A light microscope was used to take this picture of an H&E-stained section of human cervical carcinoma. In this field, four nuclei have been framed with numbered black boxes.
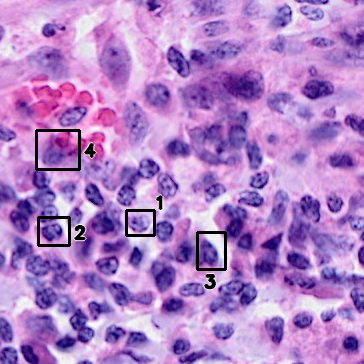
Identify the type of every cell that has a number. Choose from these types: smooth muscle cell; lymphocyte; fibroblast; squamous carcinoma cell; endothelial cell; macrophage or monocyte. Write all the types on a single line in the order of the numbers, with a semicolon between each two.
lymphocyte; lymphocyte; lymphocyte; endothelial cell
